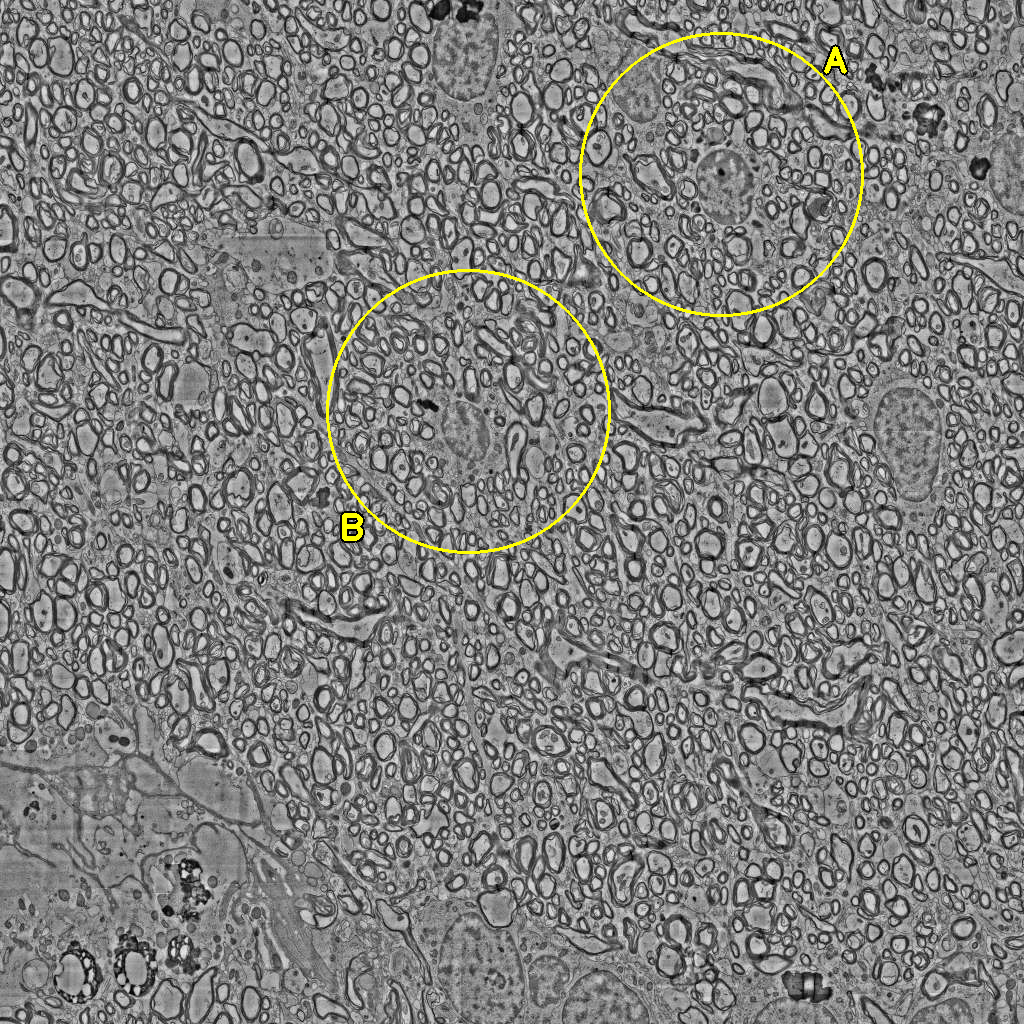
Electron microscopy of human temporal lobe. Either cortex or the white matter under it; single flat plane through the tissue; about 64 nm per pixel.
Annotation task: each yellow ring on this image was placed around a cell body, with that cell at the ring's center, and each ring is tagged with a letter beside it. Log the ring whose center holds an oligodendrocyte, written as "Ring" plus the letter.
Ring B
